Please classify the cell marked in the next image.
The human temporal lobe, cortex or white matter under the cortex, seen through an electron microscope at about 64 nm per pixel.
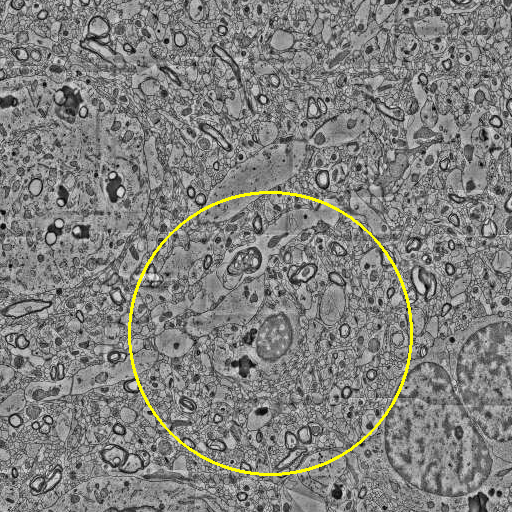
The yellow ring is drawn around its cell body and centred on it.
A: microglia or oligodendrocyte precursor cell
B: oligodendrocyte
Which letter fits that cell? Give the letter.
B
